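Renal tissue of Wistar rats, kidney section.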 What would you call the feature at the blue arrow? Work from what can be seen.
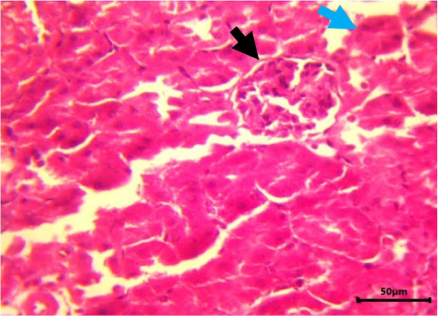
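Densely pink epithelium with intact cells. Tubules packed closely with narrow lumina.
Answer: healthy tubules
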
